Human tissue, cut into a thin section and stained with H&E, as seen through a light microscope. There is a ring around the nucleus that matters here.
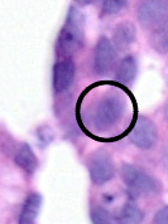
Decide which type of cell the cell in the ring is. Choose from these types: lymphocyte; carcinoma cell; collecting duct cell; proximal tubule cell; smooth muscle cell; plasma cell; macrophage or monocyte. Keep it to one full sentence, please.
Labelled by cell type, the cell in the ring is a carcinoma cell.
